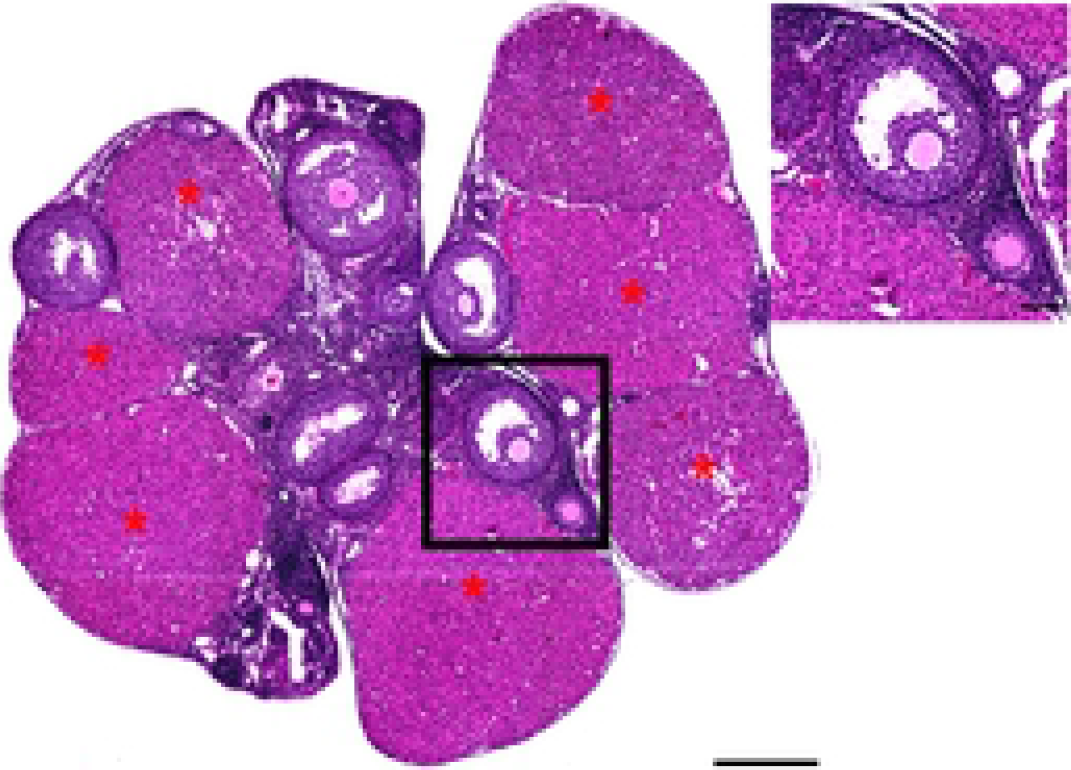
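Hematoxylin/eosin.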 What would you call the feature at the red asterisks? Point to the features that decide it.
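Large rounded pink-staining bodies marked by red asterisks fill much of the section. The marked bodies are solid, without a central cavity or oocyte. Their cells are packed densely and stain more pink than the surrounding follicles.
Corpus luteum.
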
